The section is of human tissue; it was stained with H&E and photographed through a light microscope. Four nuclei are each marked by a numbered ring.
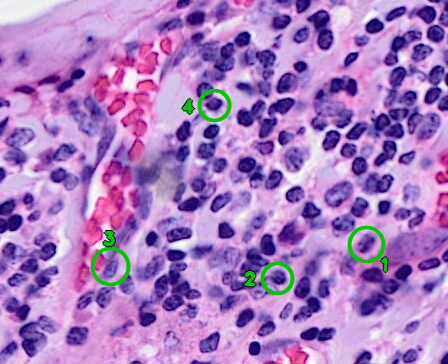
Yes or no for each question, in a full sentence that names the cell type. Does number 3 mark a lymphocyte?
No, that is wrong: cell 3 is an endothelial cell, and not a lymphocyte.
